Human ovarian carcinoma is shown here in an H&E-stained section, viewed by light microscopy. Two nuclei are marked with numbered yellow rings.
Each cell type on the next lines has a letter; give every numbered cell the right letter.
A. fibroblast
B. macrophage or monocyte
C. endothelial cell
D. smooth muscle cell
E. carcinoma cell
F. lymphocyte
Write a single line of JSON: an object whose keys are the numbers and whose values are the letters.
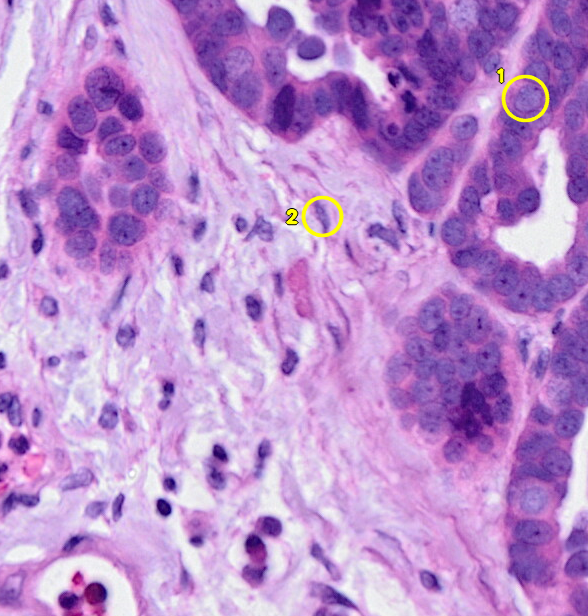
{"1": "E", "2": "A"}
